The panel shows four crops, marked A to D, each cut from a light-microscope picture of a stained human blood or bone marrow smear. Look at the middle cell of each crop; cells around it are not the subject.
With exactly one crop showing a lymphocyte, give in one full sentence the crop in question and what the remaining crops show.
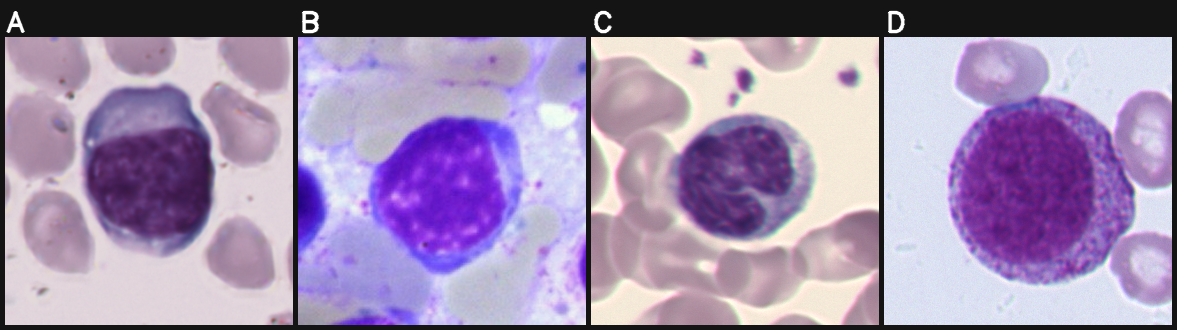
The cell sitting in crop B is a lymphocyte, while crop A is a plasma cell, crop C is a monocyte and crop D is a promyelocyte.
